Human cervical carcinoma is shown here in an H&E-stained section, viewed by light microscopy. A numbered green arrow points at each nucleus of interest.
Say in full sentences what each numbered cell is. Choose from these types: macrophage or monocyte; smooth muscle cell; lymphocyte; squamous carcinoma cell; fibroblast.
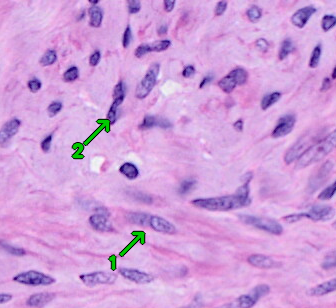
Cell 1 is a smooth muscle cell and cell 2 is a fibroblast.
